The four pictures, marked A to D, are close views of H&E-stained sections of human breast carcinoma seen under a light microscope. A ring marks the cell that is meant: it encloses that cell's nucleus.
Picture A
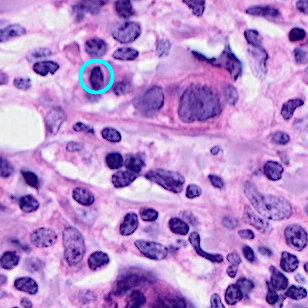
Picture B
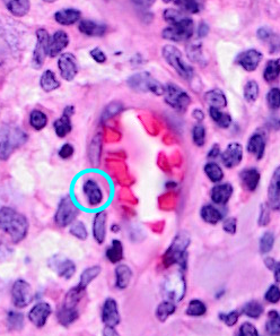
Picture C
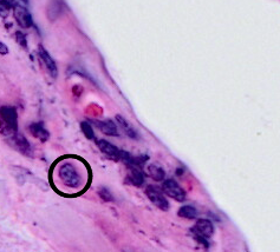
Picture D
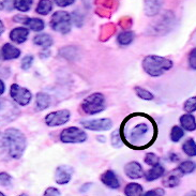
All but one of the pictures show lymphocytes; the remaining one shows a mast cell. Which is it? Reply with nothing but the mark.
C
